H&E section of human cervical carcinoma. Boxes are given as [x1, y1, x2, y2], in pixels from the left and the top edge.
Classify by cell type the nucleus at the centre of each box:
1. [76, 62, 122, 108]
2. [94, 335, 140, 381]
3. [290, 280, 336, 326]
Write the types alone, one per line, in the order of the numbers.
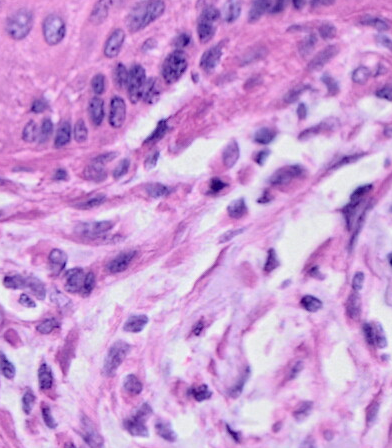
squamous carcinoma cell
fibroblast
lymphocyte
